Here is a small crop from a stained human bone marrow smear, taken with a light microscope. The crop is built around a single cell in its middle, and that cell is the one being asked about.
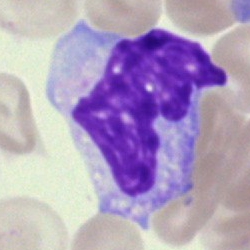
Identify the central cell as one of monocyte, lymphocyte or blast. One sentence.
The cell in the exact centre of the crop is a monocyte.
